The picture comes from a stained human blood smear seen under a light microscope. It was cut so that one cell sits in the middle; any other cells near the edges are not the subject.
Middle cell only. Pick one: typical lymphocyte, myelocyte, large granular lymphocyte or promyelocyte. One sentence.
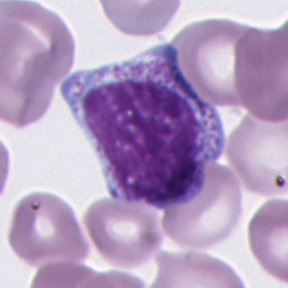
Occupying the centre of the crop is a myelocyte.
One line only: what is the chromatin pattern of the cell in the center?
The chromatin is delicate and fine, lacking coarse clumping entirely.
